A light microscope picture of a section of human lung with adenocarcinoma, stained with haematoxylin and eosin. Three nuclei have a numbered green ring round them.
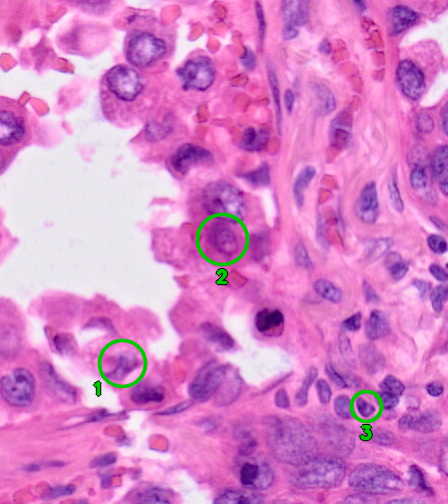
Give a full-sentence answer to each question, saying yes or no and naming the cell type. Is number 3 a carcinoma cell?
No, the cell given number 3 is a lymphocyte, as opposed to a carcinoma cell.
